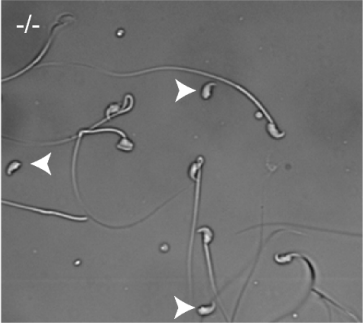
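Several heads lie on their own, separated from any tail, while free tails without heads run across the field. Other spermatozoa remain whole, with the tail joined at the base of the head, and some tails are bent or looped. Small round particles of debris are scattered in the background.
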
